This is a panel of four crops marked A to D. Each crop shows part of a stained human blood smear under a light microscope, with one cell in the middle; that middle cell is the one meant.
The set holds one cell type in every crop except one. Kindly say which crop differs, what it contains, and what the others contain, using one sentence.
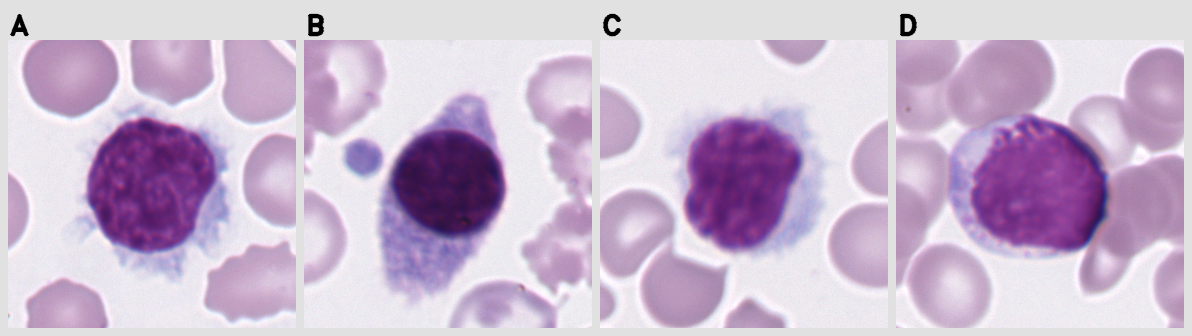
Shown in crop D is a large granular lymphocyte, in contrast to the hairy cells of all the other crops.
